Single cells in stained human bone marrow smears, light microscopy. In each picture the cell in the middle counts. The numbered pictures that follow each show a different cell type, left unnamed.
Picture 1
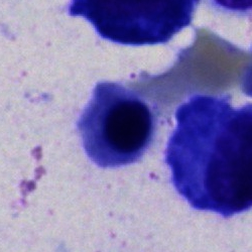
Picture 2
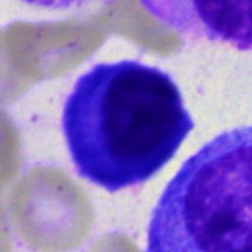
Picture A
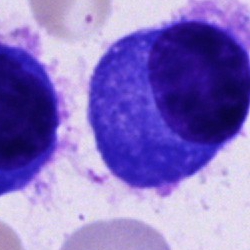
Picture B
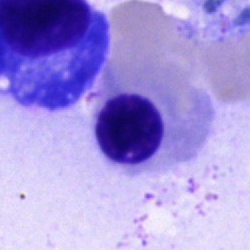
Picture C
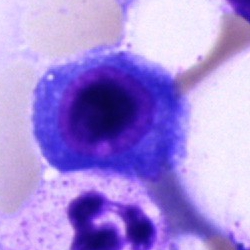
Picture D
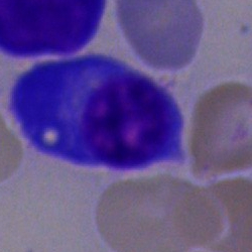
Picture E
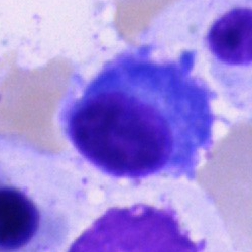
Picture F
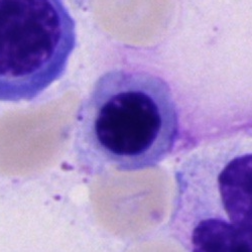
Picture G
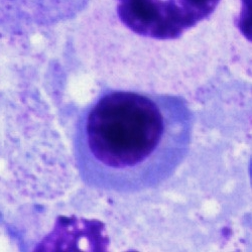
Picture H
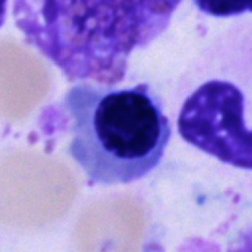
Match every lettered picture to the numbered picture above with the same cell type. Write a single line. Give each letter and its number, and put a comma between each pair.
A 2, B 1, C 2, D 2, E 2, F 1, G 1, H 1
